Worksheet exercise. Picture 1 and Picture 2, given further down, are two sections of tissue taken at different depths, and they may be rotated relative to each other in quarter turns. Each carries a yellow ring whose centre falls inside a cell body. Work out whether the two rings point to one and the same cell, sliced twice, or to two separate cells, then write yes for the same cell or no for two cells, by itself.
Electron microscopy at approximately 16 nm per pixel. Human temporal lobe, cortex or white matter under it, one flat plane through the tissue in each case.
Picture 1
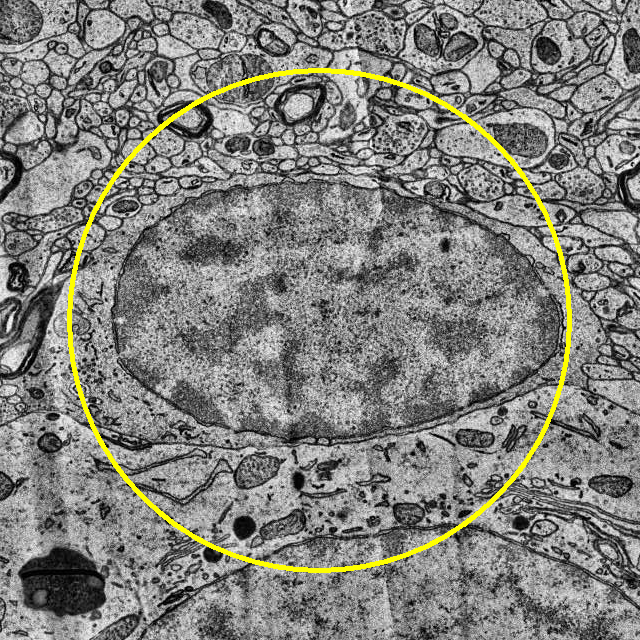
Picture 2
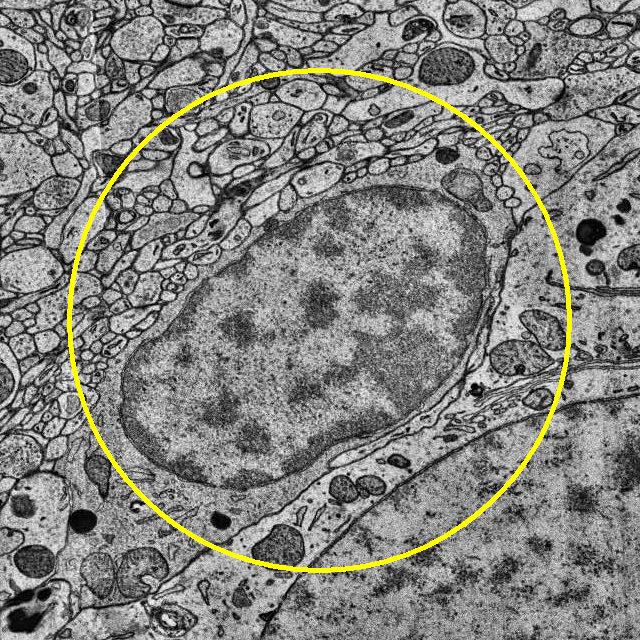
no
